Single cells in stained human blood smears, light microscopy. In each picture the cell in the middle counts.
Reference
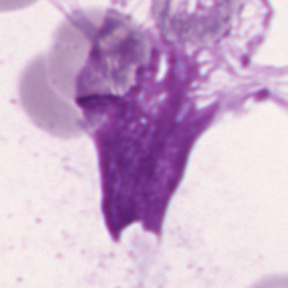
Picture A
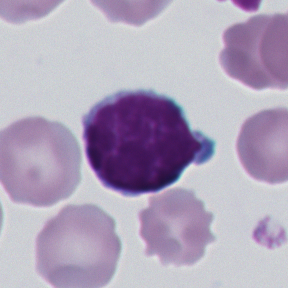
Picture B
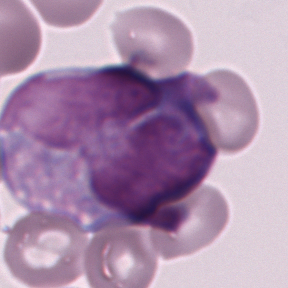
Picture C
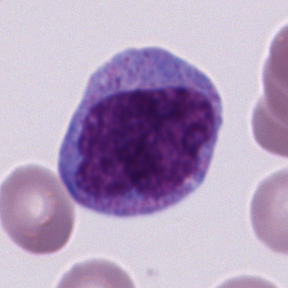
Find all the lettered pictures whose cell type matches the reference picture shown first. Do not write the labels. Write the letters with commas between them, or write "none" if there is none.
none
